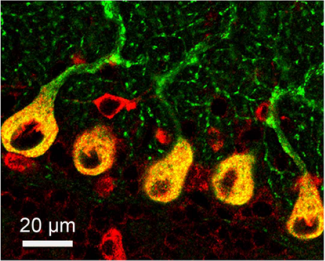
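This is cerebellar cortex showing a row of large Purkinje cells with flask-shaped cell bodies lying side by side. Thick dendrites rise from the cell bodies into the layer above, which is filled with a fine green meshwork of processes. Smaller red cells are scattered between and around the Purkinje cell bodies.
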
